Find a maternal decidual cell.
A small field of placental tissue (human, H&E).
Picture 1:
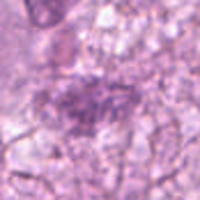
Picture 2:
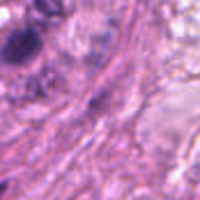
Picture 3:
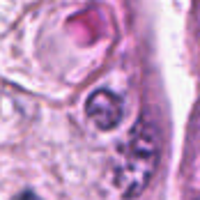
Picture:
1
